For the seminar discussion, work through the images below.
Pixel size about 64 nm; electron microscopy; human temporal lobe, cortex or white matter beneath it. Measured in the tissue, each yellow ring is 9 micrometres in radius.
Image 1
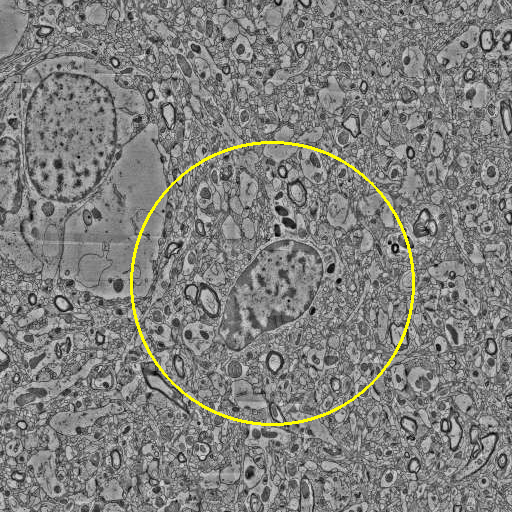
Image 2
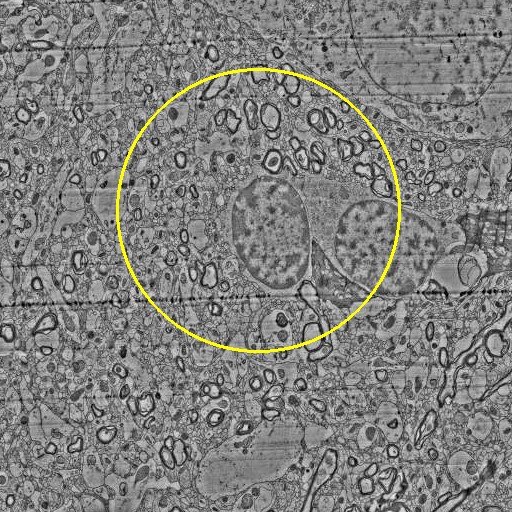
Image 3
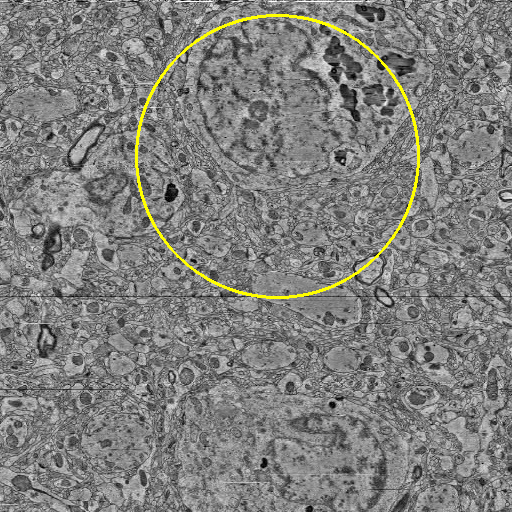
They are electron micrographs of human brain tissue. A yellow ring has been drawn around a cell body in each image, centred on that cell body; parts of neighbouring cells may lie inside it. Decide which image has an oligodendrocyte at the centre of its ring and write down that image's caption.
Image 2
